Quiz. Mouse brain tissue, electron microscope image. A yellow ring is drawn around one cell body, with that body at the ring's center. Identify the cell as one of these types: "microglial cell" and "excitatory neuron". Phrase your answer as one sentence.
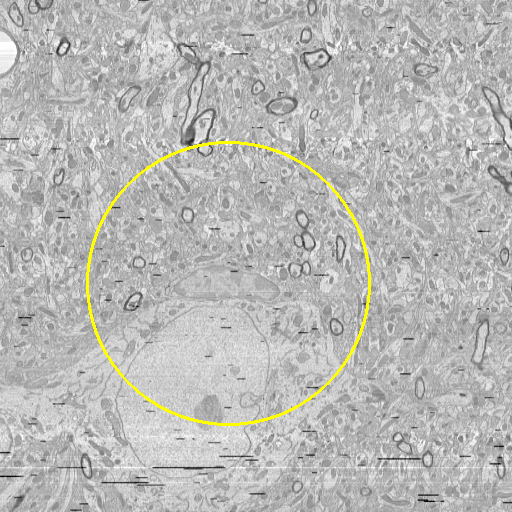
At the center of the ring sits a microglial cell.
